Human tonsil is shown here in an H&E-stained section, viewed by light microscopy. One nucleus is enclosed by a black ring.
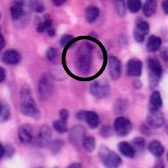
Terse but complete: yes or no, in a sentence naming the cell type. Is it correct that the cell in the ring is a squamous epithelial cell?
No, write an endothelial cell for the cell in the ring rather than a squamous epithelial cell.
